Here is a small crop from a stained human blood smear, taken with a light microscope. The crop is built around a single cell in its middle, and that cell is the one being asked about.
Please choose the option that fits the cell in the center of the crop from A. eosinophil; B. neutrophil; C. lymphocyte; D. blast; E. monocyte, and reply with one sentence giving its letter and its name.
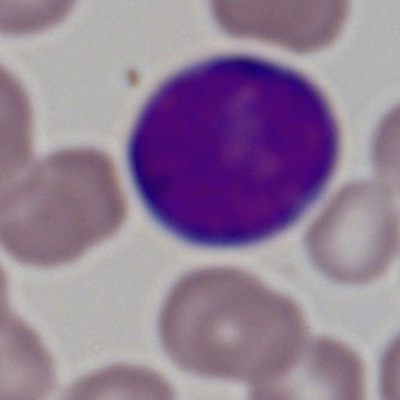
What option D states is correct, the central cell being a blast.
